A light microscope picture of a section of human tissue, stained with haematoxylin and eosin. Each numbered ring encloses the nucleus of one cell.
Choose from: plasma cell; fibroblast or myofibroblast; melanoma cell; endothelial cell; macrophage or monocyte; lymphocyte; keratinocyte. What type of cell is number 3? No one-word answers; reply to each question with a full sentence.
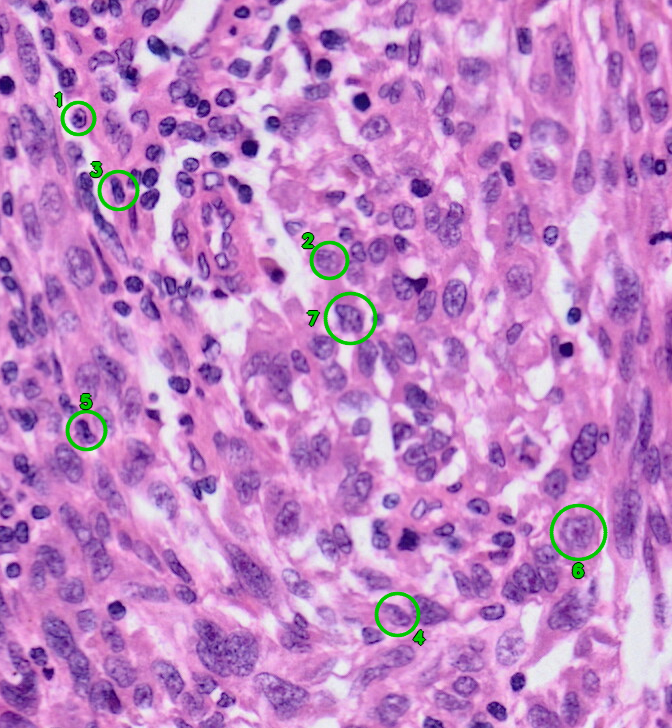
The cell pointed out by number 3 is a lymphocyte.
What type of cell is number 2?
What the number 2 marks in this field is a melanoma cell.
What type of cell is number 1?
It is as a lymphocyte that the cell numbered 1 is identified.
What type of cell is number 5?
Among the marked nuclei, number 5 belongs to a lymphocyte.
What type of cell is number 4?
The cell to which the number 4 is assigned is a melanoma cell.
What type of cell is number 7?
Classified as a melanoma cell is the cell with the number 7.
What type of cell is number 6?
The cell that carries the label 6 is a melanoma cell.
